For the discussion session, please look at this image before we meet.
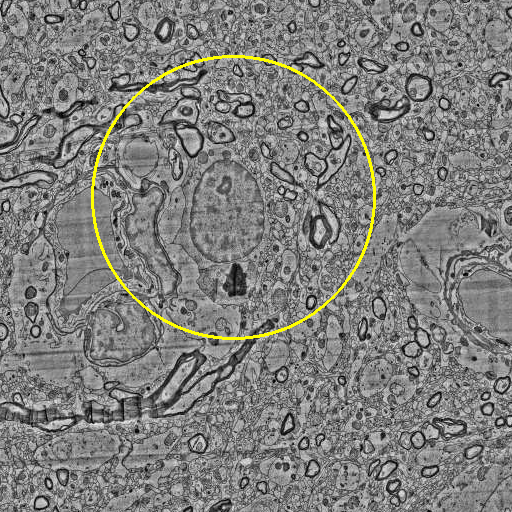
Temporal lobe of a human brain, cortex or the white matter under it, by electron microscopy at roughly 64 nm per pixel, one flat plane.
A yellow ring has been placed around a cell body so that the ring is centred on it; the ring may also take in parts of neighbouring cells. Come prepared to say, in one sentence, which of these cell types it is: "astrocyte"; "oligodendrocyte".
The cell centred in the ring is an oligodendrocyte.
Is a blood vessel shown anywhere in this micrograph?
Yes.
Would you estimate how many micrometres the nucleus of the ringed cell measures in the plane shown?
Roughly 7 by 5 micrometres in this plane, for the nucleus of the ringed cell.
